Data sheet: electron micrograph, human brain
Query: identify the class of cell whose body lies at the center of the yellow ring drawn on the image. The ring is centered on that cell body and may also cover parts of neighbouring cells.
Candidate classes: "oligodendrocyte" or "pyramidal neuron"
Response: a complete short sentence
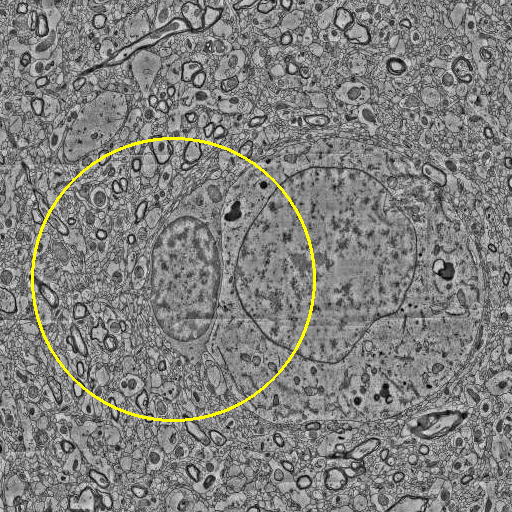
At the center of the ring lies an oligodendrocyte.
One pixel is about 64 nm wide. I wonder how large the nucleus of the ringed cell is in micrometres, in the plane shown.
Roughly 8 by 5 micrometers, clearly longer than it is wide in this plane.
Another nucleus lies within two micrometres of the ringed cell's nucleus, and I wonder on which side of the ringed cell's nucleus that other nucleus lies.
The other one is to the right of it.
